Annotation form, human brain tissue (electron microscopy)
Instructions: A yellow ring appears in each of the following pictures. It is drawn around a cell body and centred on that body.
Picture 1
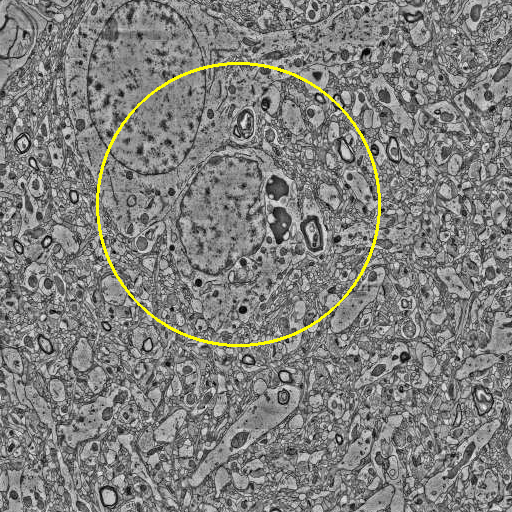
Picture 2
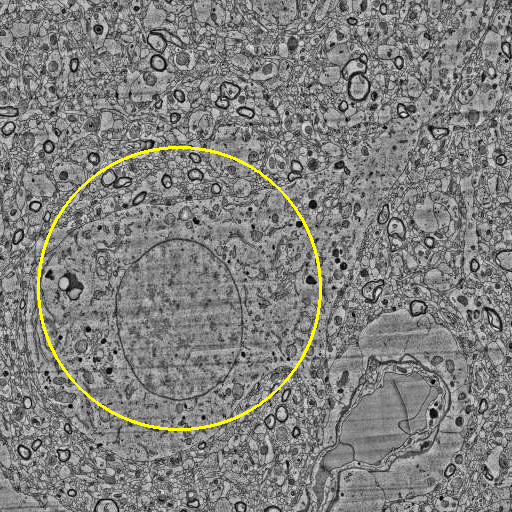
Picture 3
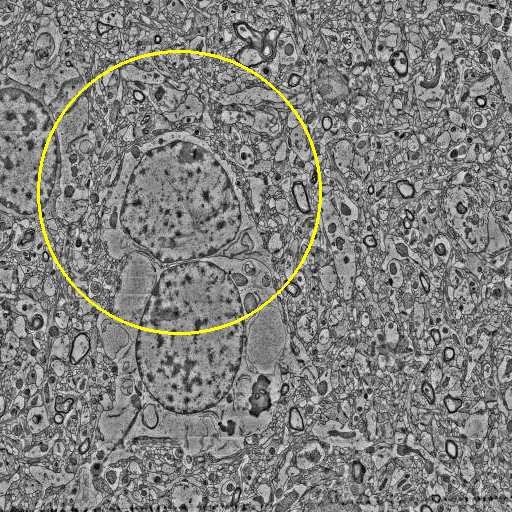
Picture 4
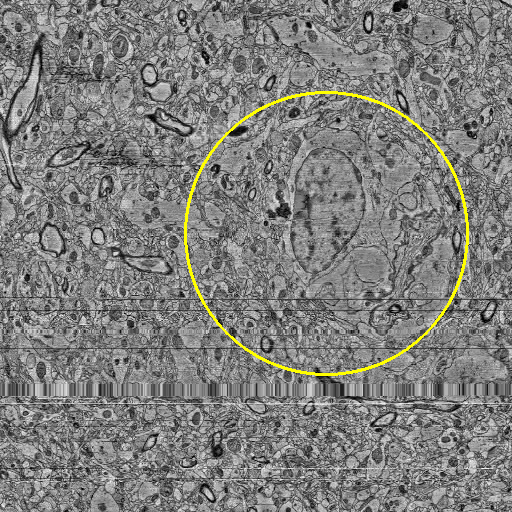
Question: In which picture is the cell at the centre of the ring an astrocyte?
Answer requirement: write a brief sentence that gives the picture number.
The cell at the centre of the ring in Picture 3 is the one asked for.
